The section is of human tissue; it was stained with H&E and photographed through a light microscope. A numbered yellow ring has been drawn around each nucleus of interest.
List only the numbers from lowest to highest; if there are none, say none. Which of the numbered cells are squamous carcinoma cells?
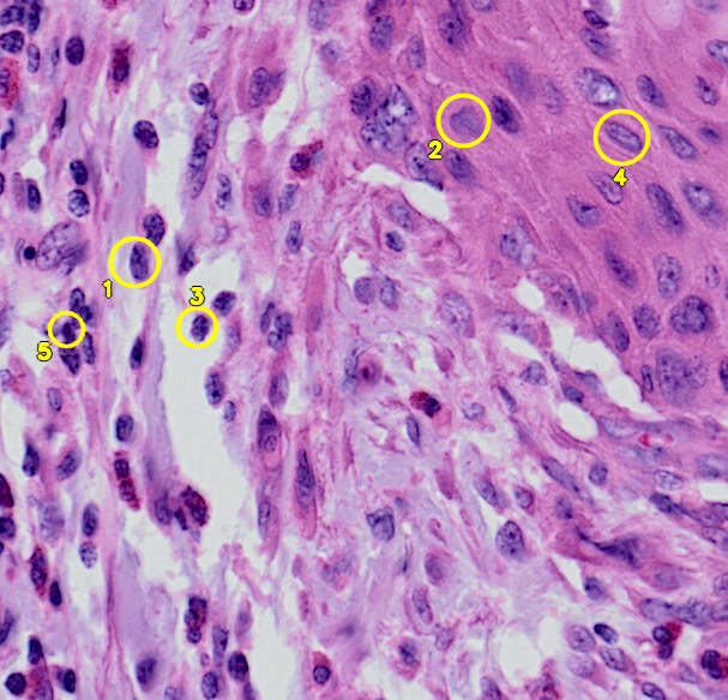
2, 4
